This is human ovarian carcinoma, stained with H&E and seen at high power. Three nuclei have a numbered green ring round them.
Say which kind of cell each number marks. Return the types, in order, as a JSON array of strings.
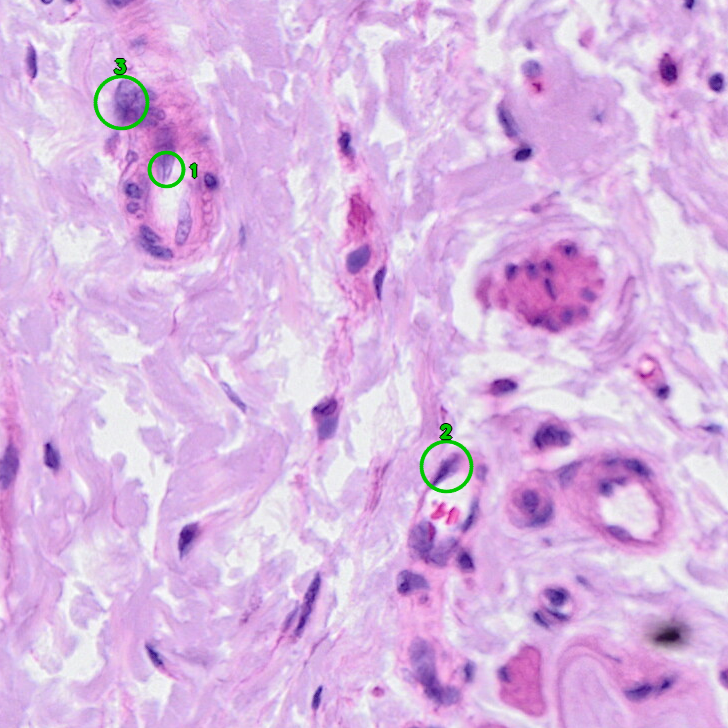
["endothelial cell", "endothelial cell", "fibroblast"]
